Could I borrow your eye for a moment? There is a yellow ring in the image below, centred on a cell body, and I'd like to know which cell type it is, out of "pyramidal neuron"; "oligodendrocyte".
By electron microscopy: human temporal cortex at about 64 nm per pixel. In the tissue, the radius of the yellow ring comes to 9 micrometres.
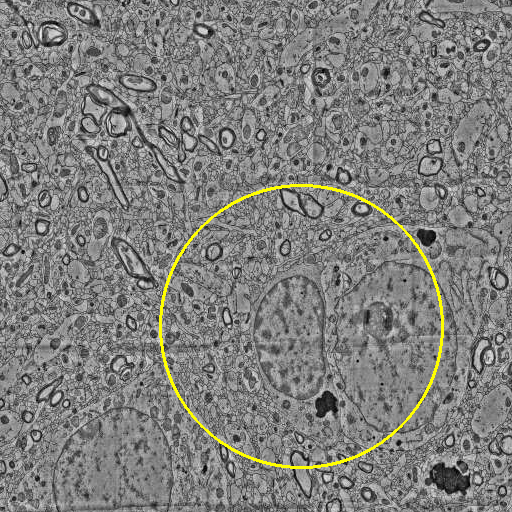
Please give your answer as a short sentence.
The cell body at the centre is that of an oligodendrocyte.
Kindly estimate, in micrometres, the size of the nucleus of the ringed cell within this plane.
Roughly 8 micrometres long and 5 micrometres wide; in this plane the nucleus is clearly longer than it is wide.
